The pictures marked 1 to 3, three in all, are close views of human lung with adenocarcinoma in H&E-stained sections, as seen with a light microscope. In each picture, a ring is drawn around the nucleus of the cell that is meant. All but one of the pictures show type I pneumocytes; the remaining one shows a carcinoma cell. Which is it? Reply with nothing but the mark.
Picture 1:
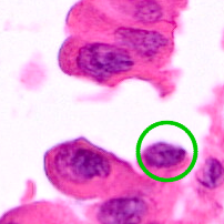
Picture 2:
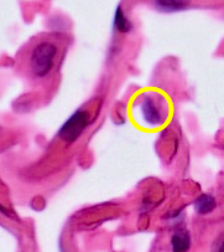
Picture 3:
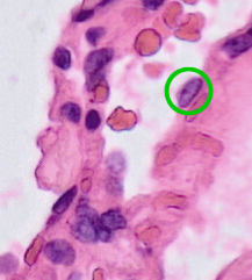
1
